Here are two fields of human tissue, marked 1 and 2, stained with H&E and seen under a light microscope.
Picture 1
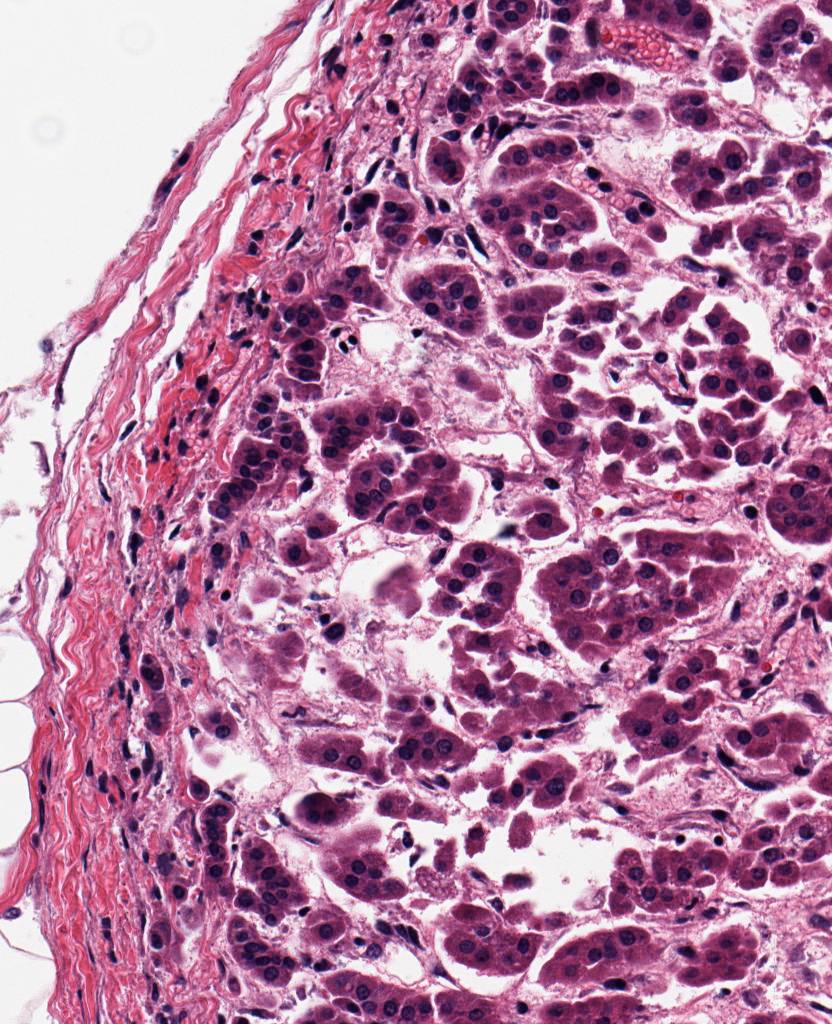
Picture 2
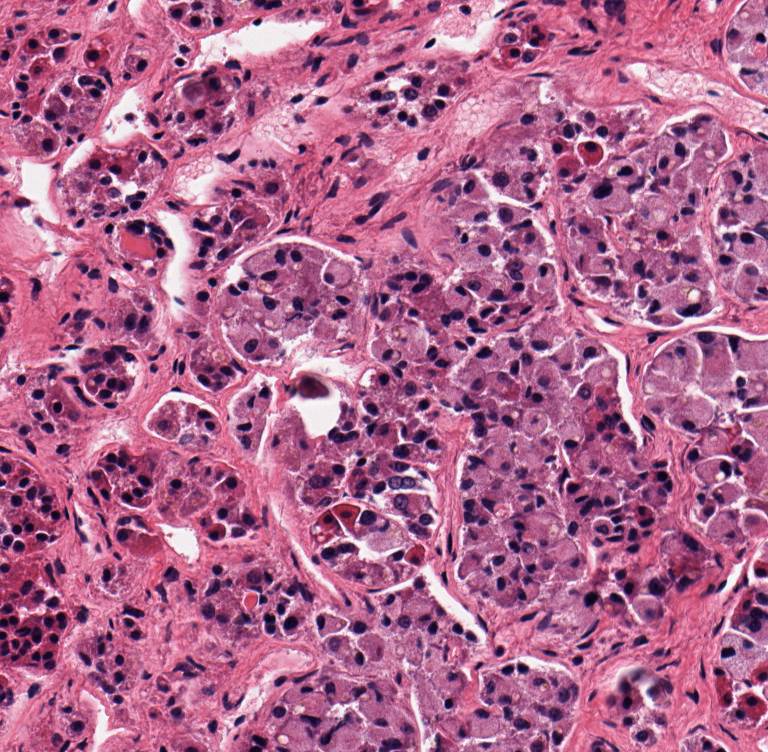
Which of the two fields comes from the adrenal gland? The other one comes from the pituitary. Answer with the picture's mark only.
1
